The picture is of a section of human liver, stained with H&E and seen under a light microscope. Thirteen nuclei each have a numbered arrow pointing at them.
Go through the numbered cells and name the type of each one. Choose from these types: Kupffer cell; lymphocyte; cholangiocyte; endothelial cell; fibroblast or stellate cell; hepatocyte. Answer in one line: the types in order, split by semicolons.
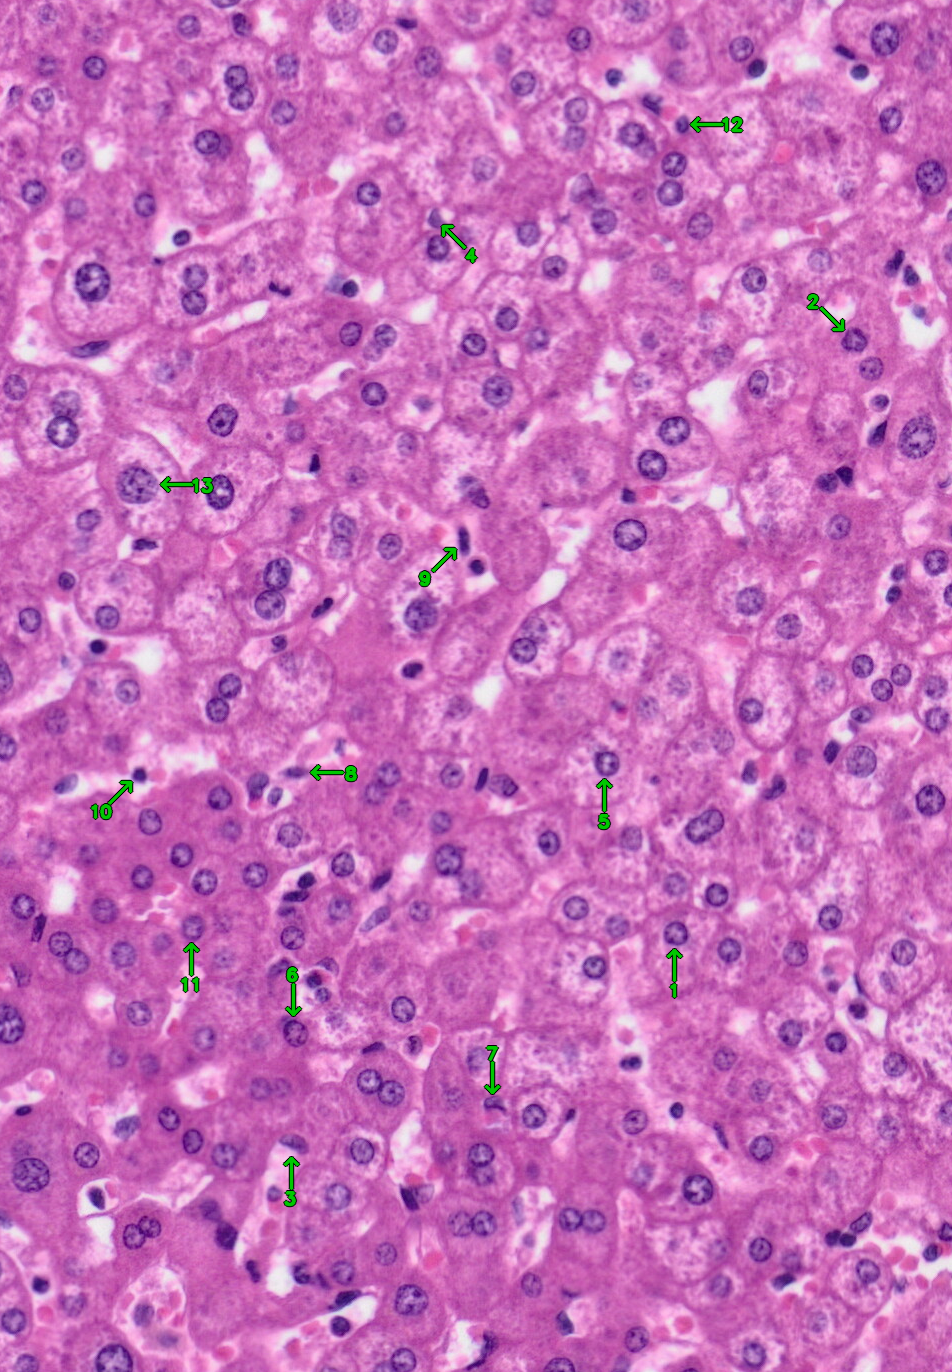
hepatocyte; hepatocyte; endothelial cell; endothelial cell; hepatocyte; hepatocyte; endothelial cell; lymphocyte; lymphocyte; lymphocyte; hepatocyte; lymphocyte; hepatocyte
